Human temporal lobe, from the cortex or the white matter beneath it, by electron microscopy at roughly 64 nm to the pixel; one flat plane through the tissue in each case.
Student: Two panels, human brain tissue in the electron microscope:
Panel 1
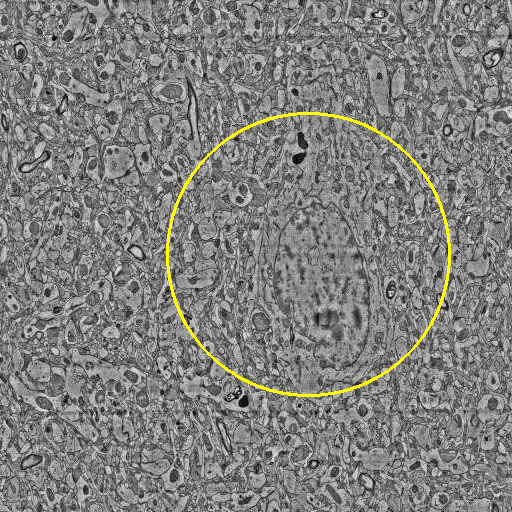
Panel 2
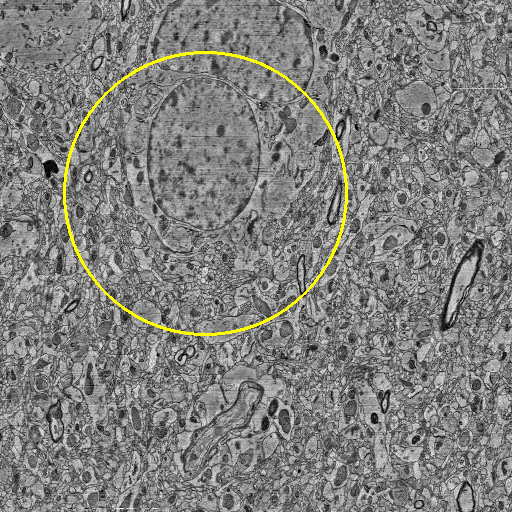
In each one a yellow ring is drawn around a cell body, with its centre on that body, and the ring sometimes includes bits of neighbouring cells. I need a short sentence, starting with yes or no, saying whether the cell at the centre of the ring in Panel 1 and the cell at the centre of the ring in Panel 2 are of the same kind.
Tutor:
No, they are two kinds of cell.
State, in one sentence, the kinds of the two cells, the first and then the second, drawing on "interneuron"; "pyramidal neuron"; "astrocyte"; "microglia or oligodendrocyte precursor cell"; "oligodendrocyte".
The ring in the second picture is centred on an astrocyte, the ring in the first on an interneuron.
